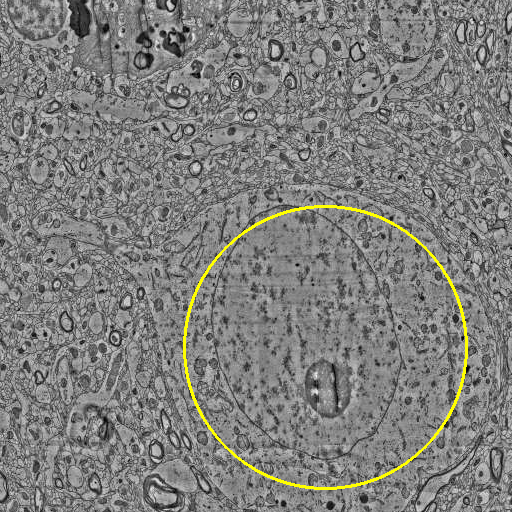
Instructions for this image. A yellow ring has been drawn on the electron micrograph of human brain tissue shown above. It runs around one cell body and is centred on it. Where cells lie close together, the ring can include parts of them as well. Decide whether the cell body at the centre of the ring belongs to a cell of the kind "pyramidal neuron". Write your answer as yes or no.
yes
